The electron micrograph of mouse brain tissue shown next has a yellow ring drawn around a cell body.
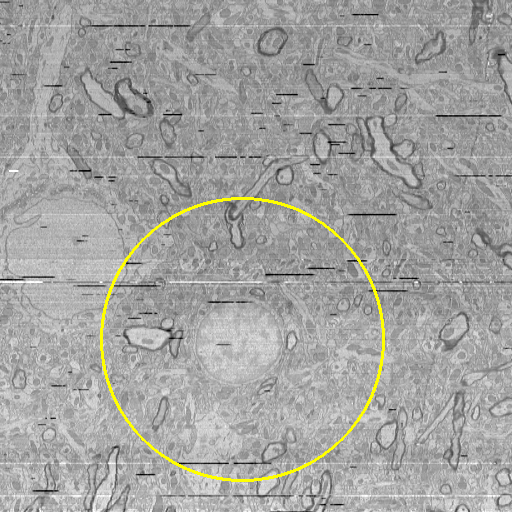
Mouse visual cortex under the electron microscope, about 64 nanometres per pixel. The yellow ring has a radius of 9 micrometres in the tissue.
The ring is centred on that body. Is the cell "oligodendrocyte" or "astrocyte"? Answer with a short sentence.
The cell in question is an oligodendrocyte.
